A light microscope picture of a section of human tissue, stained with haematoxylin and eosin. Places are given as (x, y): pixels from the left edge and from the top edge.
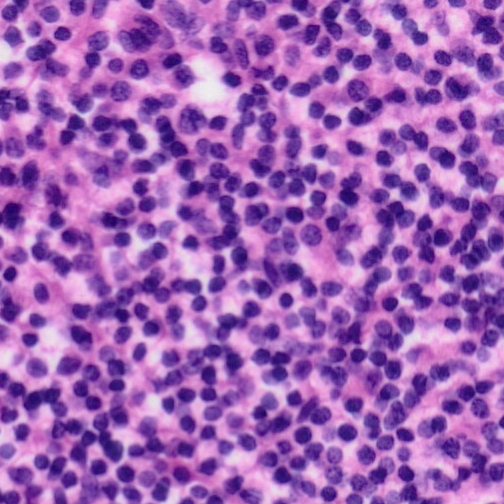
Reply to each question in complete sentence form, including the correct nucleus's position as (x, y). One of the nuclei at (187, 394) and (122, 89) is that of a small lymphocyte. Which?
Between the two nuclei, the one sitting at (187, 394) belongs to a small lymphocyte.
